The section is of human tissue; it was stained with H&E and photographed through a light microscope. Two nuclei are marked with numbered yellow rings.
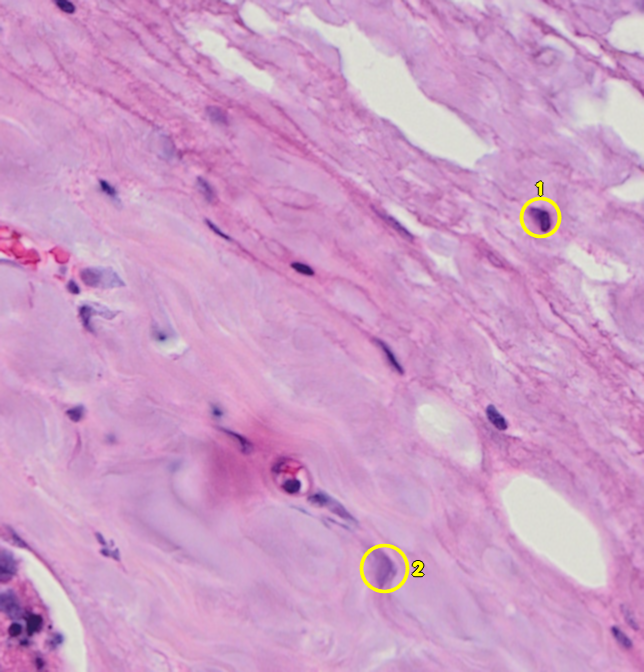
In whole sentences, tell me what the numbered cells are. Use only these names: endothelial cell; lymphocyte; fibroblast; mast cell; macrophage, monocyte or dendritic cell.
Cell 1 is a mast cell and cell 2 is a fibroblast.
